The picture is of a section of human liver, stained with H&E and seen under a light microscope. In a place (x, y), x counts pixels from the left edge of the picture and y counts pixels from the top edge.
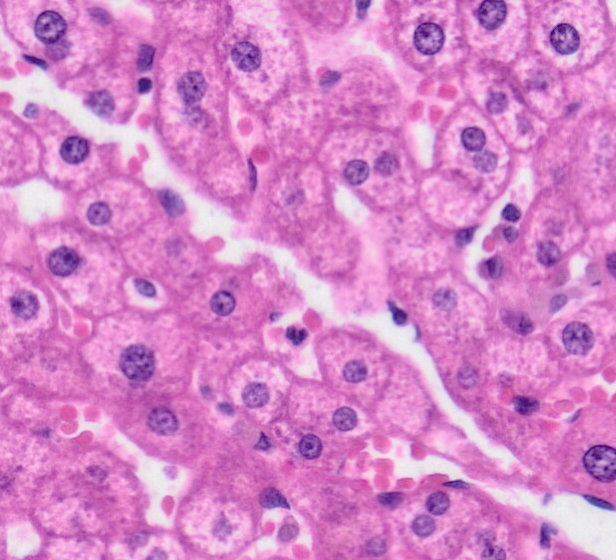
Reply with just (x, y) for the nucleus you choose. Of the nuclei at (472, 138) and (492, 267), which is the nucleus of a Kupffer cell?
(492, 267)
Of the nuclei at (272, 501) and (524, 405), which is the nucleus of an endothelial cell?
(272, 501)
